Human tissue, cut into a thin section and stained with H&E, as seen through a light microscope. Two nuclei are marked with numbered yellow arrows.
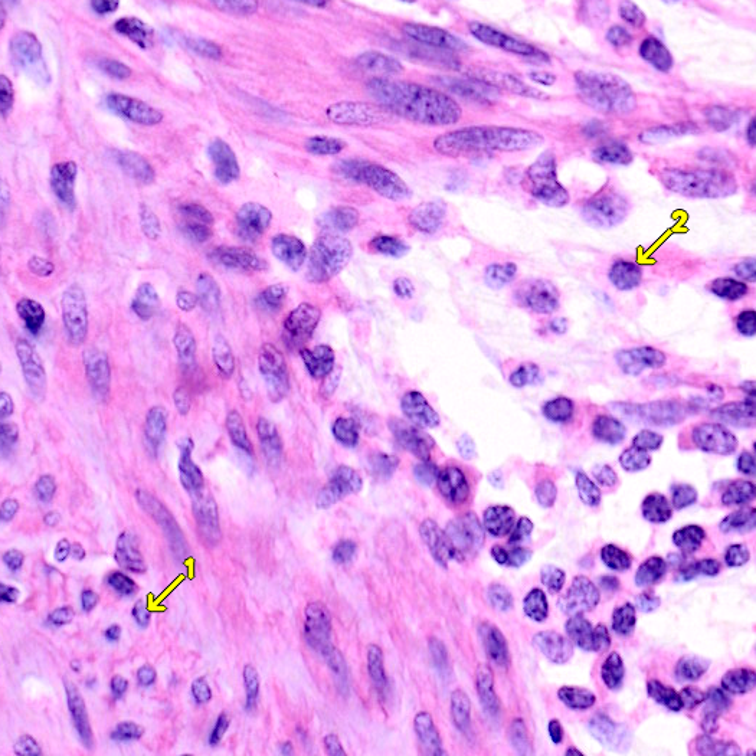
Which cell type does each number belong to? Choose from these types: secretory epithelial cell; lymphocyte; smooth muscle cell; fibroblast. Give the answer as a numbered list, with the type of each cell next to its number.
1. smooth muscle cell
2. lymphocyte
